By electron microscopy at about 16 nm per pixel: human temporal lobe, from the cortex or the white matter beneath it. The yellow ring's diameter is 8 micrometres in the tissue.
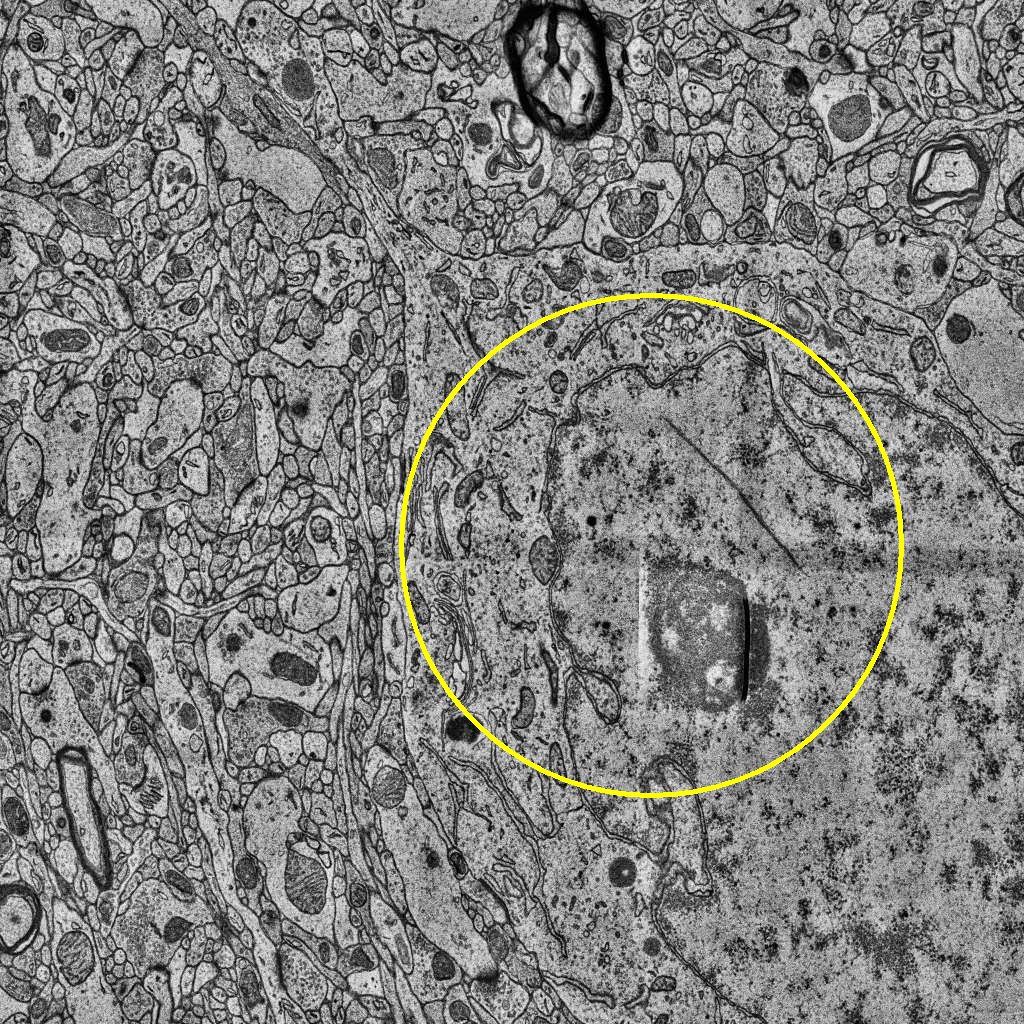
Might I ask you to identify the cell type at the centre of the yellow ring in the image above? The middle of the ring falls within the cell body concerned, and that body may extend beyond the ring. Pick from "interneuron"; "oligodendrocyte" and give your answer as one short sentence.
The centre of the ring falls on an interneuron.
